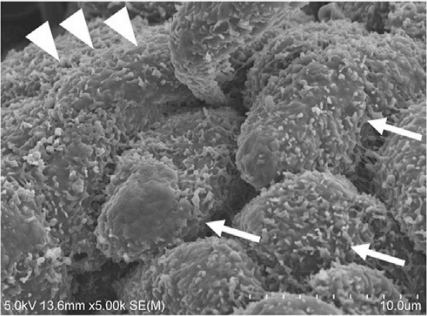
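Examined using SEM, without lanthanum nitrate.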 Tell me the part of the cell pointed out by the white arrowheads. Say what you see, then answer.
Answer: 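Microvilli. Cell surfaces are covered with many short finger-like projections. The arrowheads point at the edge of a cell bearing these projections.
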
